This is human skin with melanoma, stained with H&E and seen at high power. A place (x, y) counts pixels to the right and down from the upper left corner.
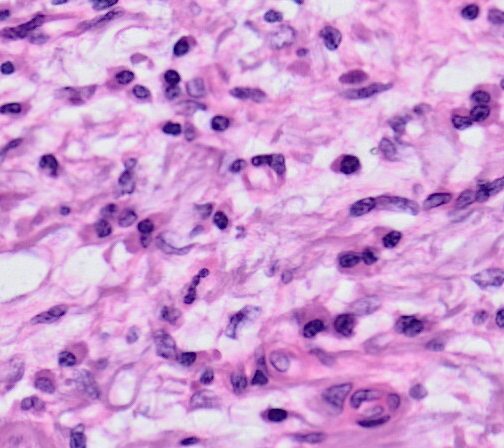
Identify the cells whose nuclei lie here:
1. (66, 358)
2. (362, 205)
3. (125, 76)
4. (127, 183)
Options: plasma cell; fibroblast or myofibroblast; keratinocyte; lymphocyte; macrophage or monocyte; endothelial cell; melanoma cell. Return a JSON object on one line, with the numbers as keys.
{"1": "plasma cell", "2": "plasma cell", "3": "plasma cell", "4": "fibroblast or myofibroblast"}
